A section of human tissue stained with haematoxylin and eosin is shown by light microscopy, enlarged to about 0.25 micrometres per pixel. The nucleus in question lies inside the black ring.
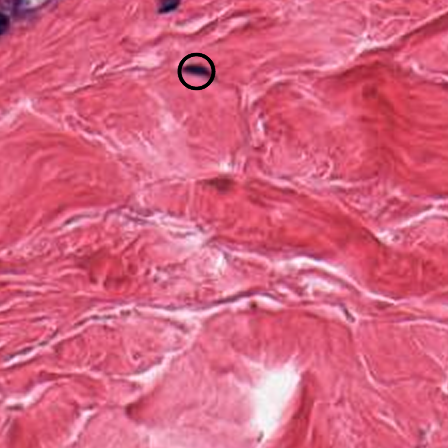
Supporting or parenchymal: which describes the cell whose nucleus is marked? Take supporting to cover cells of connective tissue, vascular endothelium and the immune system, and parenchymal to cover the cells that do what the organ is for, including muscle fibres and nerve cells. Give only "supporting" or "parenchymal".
supporting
